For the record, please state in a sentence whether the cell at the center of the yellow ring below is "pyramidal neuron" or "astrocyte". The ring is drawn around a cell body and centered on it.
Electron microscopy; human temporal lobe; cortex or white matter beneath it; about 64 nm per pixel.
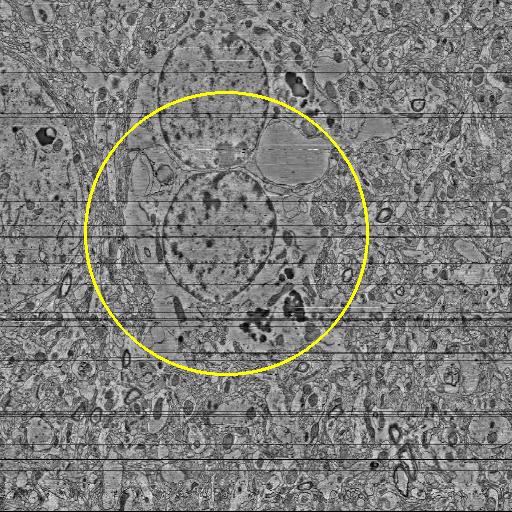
The cell at the ring's center is an astrocyte.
